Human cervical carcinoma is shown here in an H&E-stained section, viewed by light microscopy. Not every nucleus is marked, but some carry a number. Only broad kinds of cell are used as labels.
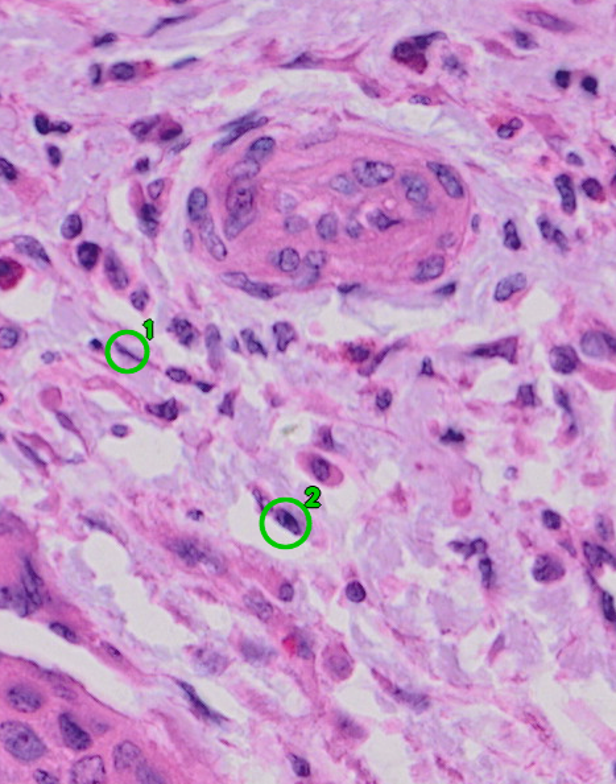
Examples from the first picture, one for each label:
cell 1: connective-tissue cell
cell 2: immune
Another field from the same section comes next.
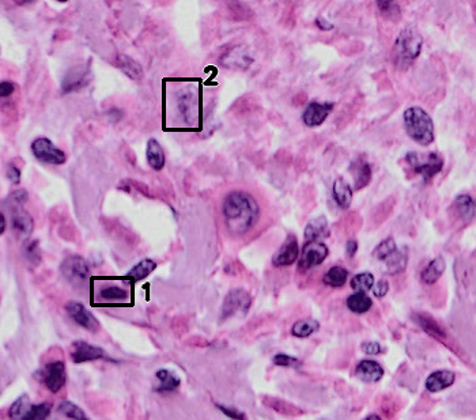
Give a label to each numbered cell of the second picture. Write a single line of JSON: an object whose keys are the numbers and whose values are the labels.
{"1": "immune", "2": "connective-tissue cell"}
